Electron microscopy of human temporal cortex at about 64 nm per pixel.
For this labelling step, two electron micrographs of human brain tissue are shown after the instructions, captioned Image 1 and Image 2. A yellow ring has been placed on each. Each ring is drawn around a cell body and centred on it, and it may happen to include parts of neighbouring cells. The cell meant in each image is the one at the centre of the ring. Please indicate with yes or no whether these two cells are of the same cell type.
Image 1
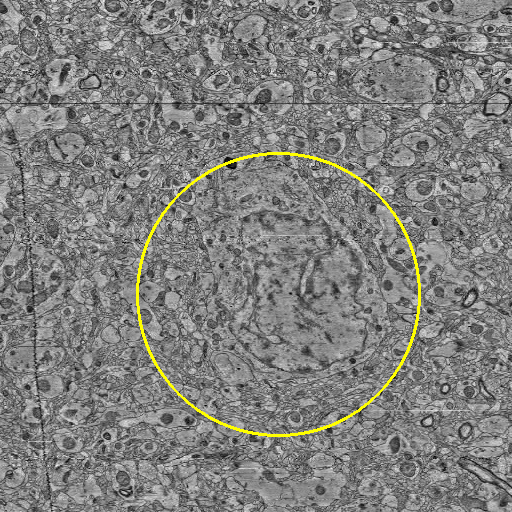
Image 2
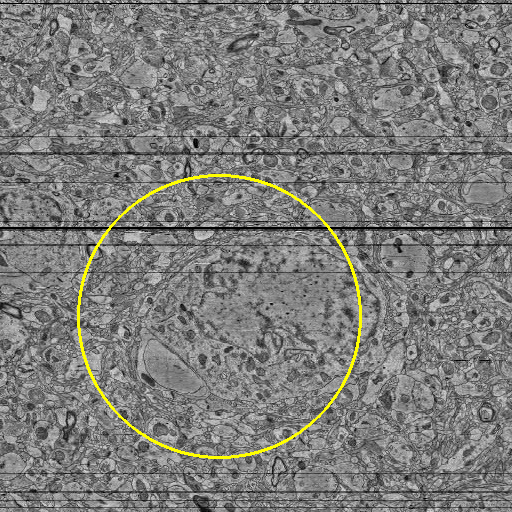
yes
